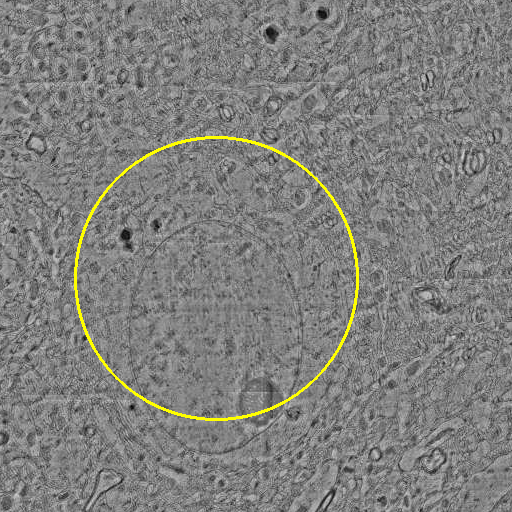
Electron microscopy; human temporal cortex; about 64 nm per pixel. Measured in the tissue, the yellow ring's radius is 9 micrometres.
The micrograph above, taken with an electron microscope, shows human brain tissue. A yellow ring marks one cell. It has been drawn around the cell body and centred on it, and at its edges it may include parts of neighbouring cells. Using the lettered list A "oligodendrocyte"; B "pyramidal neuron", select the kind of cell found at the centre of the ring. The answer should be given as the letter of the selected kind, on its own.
B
